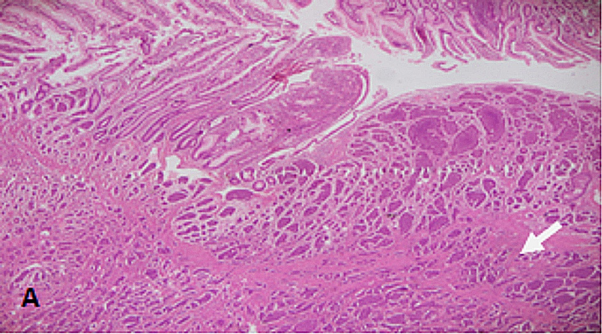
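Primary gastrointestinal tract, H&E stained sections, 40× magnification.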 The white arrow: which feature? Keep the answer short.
Nests and clusters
